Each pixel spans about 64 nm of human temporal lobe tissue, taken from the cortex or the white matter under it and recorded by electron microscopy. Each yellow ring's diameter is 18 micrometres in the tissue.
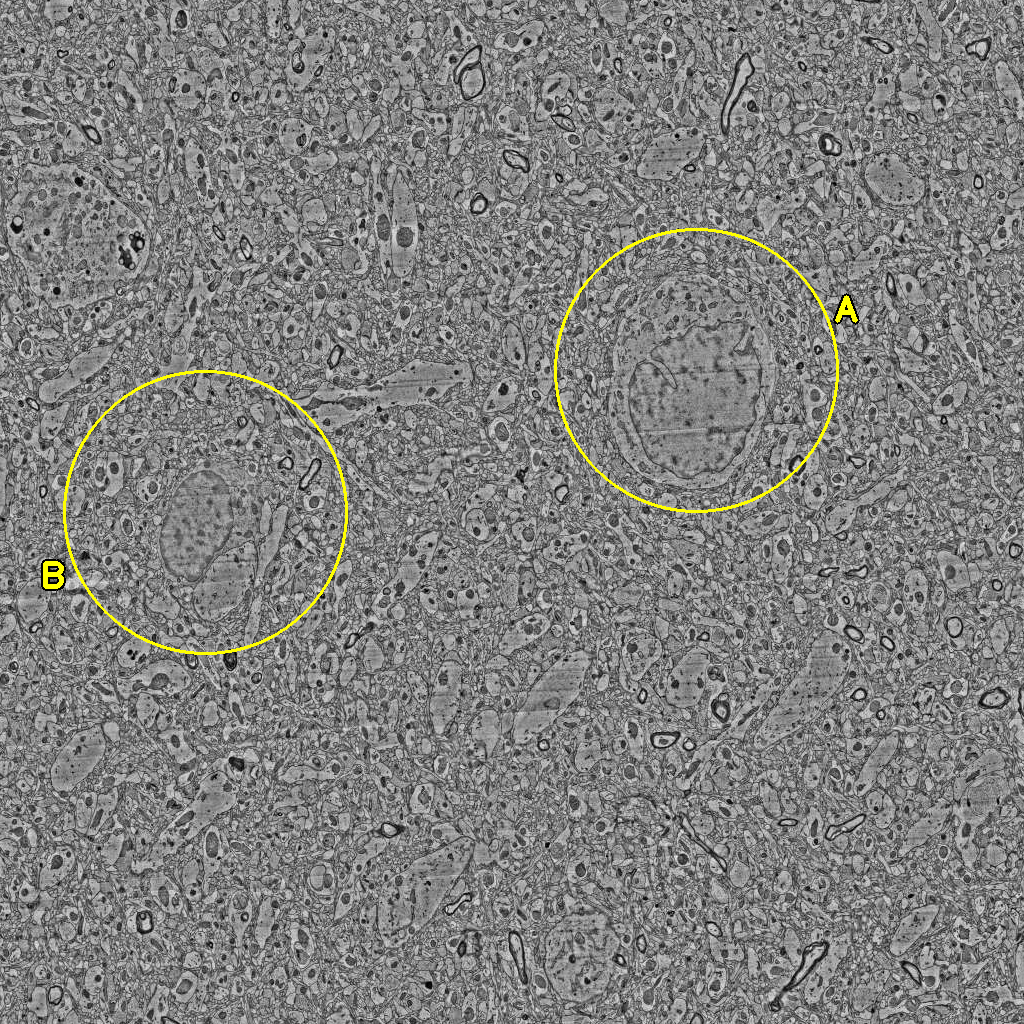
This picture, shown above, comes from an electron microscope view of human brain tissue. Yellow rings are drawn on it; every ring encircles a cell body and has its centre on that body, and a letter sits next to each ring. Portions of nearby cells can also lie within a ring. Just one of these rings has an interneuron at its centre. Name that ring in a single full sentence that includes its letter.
In the picture, ring A has the cell asked for at its centre.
